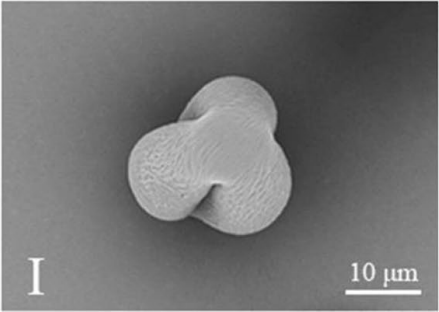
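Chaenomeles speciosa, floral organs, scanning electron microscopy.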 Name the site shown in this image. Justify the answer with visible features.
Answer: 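Polar view. Grain outline is three-lobed. Three furrows converge toward the centre.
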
